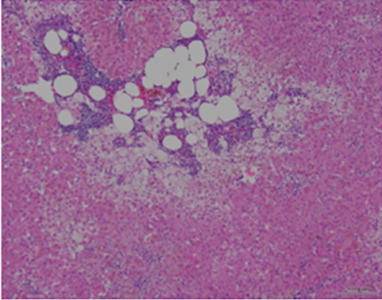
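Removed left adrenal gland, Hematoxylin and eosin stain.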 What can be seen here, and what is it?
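This is adrenocortical tumor tissue, pink and solid, with a focus of lipomatous change. A cluster of large round empty fat vacuoles sits in the middle of the tumor. Around the fat lies a dense gathering of small dark blue nuclei, which marks lymphocytes infiltrating the tumor. The surrounding tumor cells have pink cytoplasm.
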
